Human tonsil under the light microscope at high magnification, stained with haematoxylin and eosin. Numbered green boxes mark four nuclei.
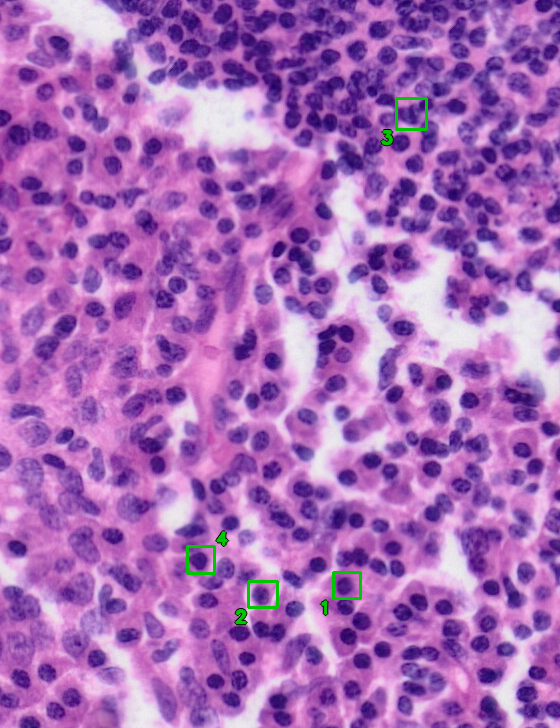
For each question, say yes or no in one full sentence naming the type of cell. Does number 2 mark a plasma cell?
Yes, in this section the cell numbered 2 is a plasma cell.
